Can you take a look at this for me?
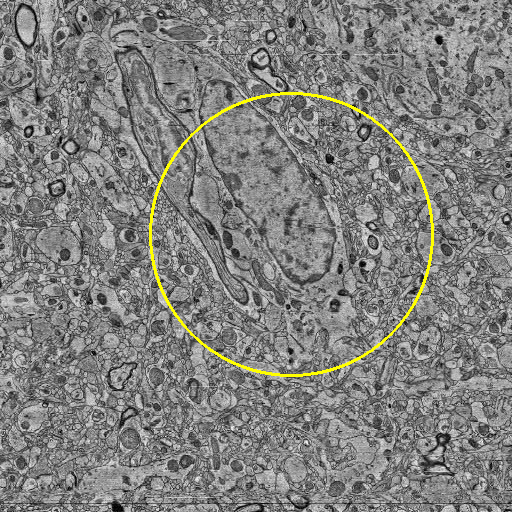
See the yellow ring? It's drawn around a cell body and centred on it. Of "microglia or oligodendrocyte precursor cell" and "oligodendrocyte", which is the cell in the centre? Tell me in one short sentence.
The one in the centre is a microglial cell or oligodendrocyte precursor cell.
